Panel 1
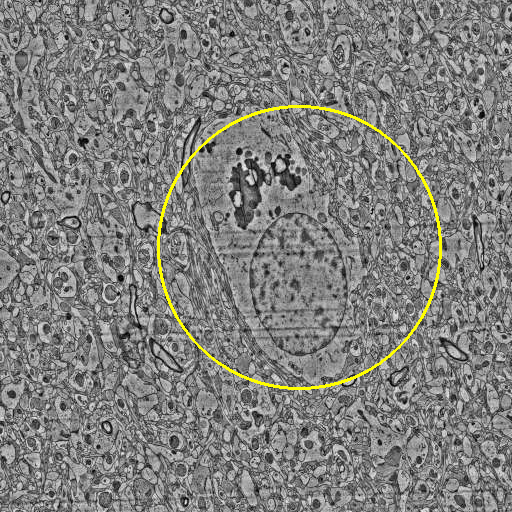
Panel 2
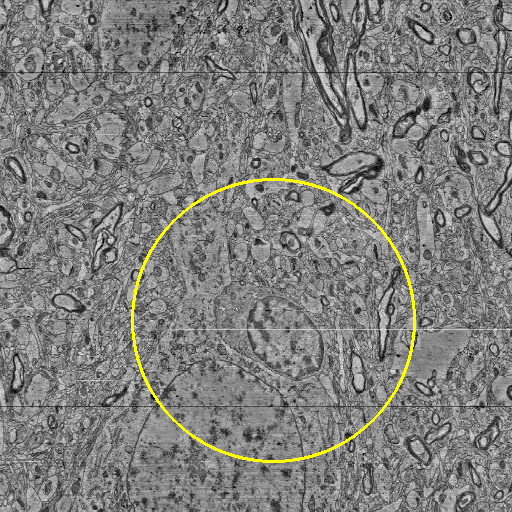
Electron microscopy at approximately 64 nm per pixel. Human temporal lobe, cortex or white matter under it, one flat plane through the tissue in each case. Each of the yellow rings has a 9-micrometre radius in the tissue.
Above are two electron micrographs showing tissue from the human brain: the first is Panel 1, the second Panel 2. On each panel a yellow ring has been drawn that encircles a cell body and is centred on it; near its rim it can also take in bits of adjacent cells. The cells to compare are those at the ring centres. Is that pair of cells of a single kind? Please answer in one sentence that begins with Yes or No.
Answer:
No, the ring-centred cells of Panel 1 and Panel 2 belong to two kinds.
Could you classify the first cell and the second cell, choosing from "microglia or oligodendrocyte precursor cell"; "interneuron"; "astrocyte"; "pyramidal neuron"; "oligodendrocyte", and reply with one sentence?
The second cell is an oligodendrocyte, while the first is an astrocyte.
